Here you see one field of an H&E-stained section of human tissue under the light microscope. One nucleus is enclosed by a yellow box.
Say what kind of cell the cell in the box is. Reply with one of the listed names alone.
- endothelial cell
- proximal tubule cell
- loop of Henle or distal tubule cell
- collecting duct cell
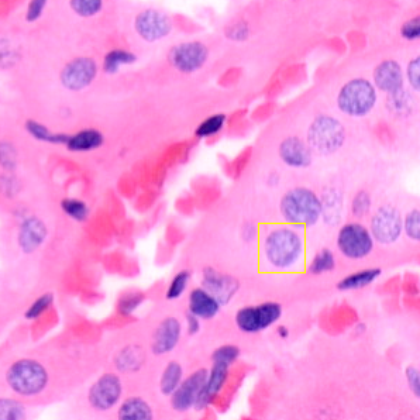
collecting duct cell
